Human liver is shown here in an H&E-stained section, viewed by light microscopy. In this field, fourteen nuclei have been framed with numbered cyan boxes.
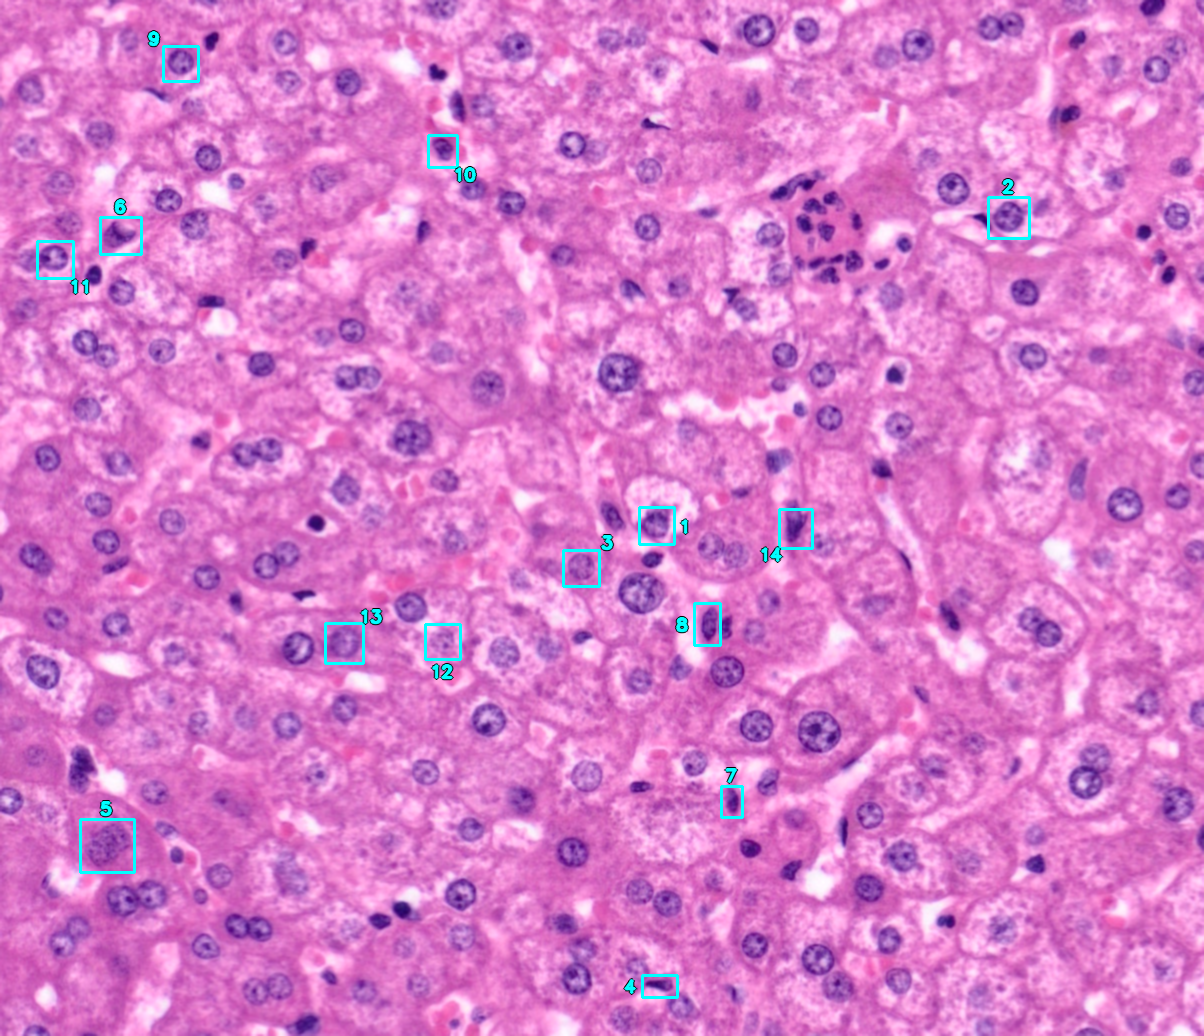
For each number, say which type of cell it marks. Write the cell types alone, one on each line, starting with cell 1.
hepatocyte
hepatocyte
hepatocyte
endothelial cell
hepatocyte
Kupffer cell
fibroblast or stellate cell
Kupffer cell
hepatocyte
Kupffer cell
hepatocyte
hepatocyte
hepatocyte
fibroblast or stellate cell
